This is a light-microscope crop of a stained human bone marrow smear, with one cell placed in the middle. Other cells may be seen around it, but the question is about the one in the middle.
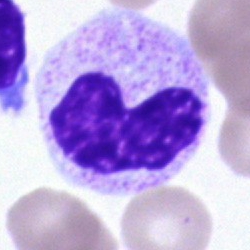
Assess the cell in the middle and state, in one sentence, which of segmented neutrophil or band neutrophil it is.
The cell at the middle of the frame should be recorded as a band neutrophil.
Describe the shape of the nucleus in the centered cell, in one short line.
Have a look at the nucleus, which is one compact mass, round, oval or kidney-shaped.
